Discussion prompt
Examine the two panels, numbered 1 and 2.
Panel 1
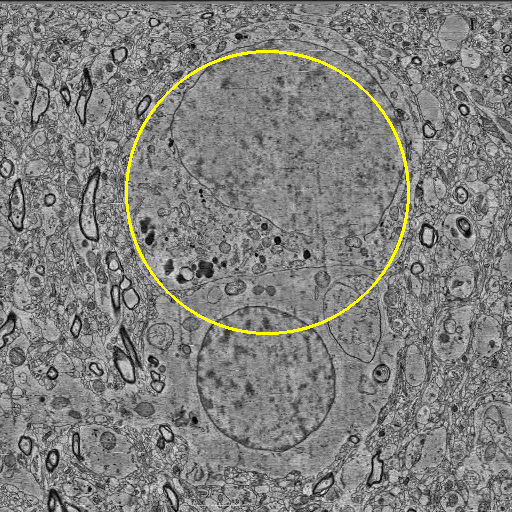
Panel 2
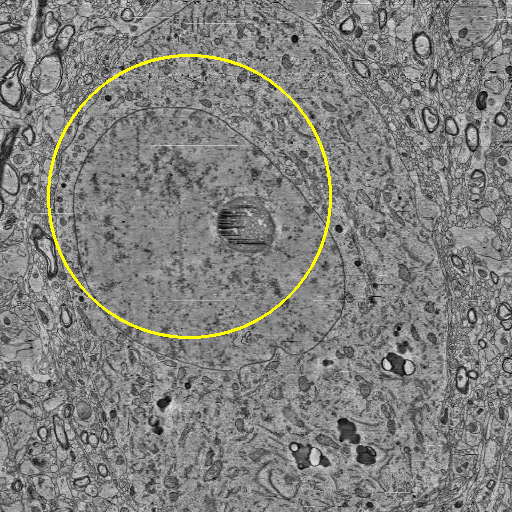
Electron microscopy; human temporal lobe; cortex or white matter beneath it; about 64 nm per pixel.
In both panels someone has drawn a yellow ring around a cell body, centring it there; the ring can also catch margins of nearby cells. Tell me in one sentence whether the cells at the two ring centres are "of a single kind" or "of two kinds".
Taken together, the two cells centred in the rings of Panels 1 and 2 are of a single kind.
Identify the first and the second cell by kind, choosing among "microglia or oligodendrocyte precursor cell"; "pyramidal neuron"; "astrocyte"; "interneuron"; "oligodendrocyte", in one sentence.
The cell at the ring centre is a pyramidal neuron in both pictures.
